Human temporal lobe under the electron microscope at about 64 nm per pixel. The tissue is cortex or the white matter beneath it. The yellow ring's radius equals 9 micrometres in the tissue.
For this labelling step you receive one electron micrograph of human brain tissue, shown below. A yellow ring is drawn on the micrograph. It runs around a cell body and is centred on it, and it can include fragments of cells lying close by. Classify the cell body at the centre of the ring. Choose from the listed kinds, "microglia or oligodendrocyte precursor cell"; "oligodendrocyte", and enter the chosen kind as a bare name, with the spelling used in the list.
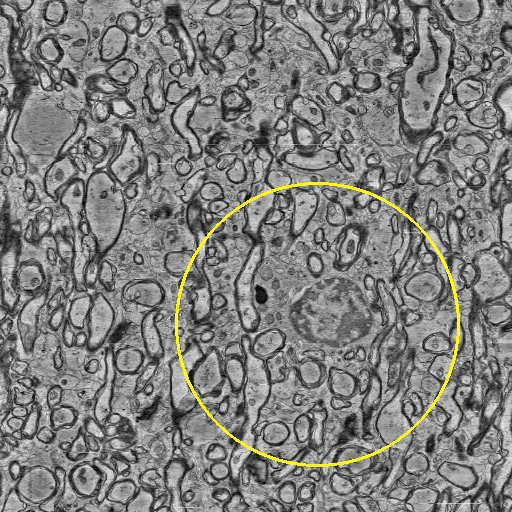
oligodendrocyte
